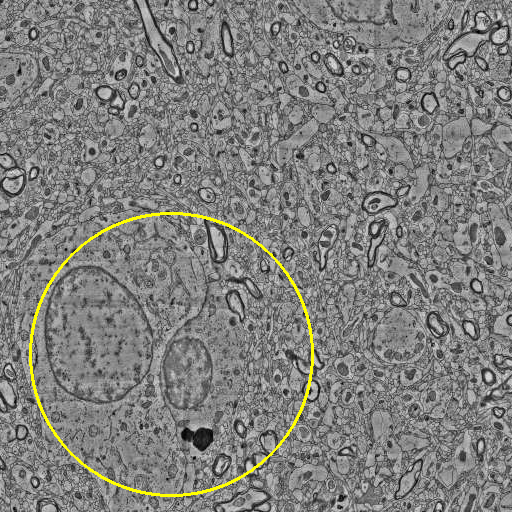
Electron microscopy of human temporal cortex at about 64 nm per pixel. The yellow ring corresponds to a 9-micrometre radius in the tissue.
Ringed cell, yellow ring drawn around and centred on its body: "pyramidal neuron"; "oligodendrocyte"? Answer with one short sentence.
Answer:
This ringed cell is an oligodendrocyte.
